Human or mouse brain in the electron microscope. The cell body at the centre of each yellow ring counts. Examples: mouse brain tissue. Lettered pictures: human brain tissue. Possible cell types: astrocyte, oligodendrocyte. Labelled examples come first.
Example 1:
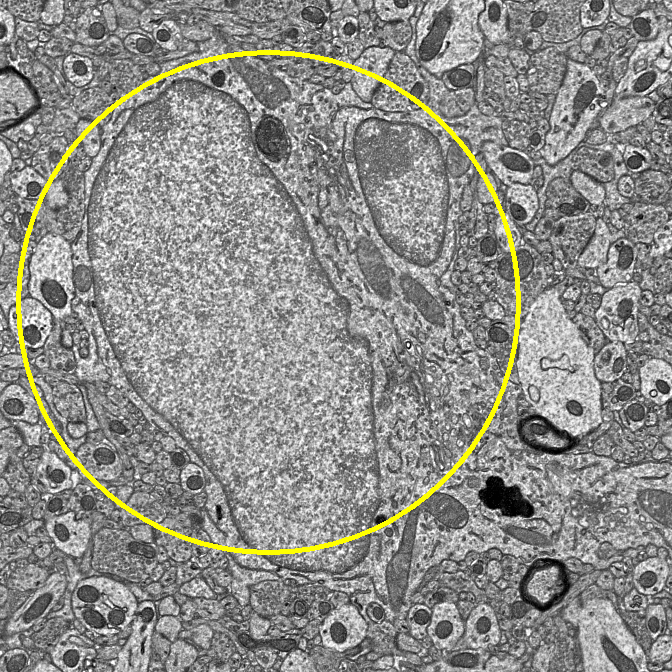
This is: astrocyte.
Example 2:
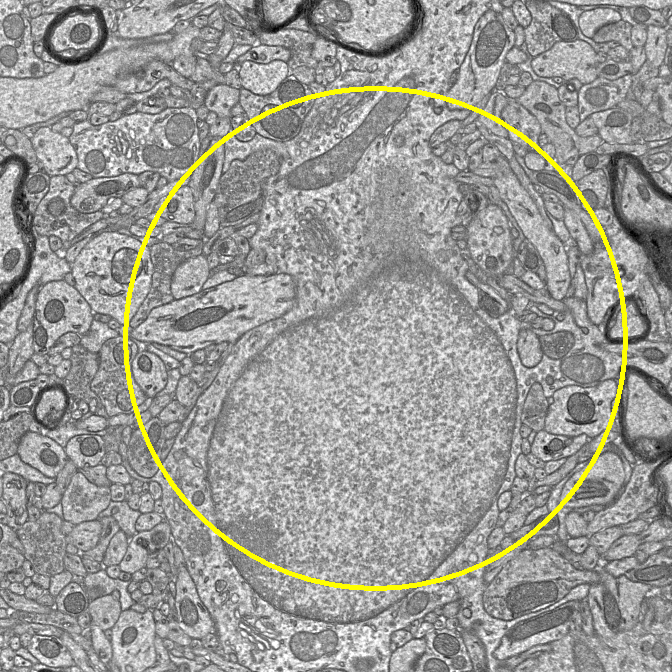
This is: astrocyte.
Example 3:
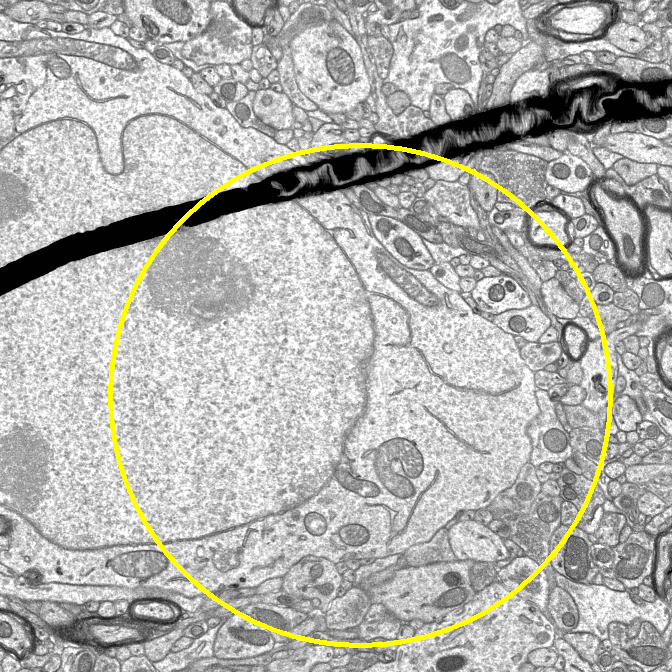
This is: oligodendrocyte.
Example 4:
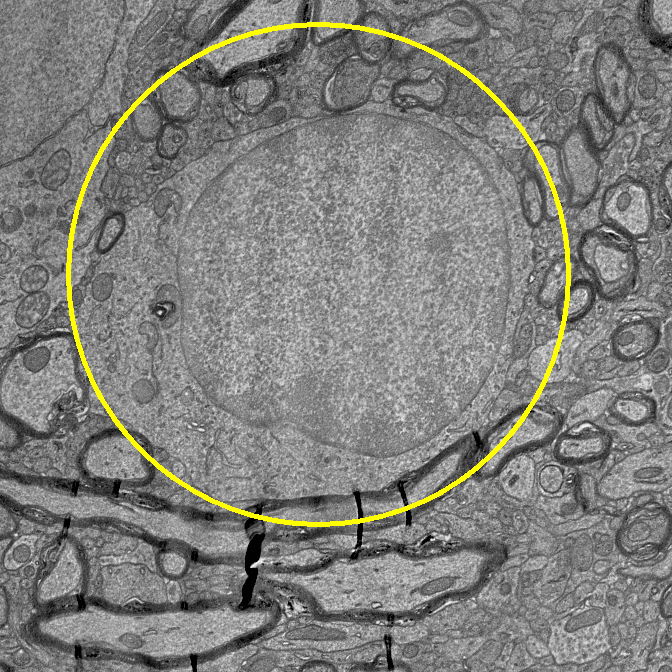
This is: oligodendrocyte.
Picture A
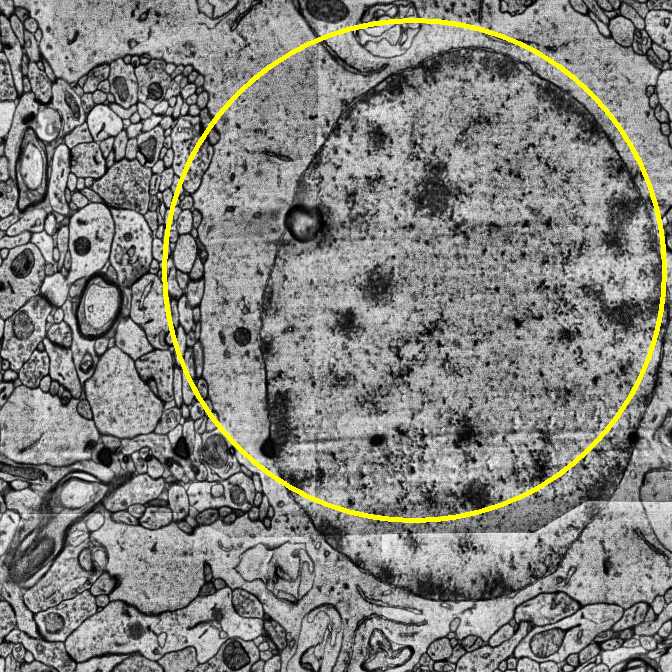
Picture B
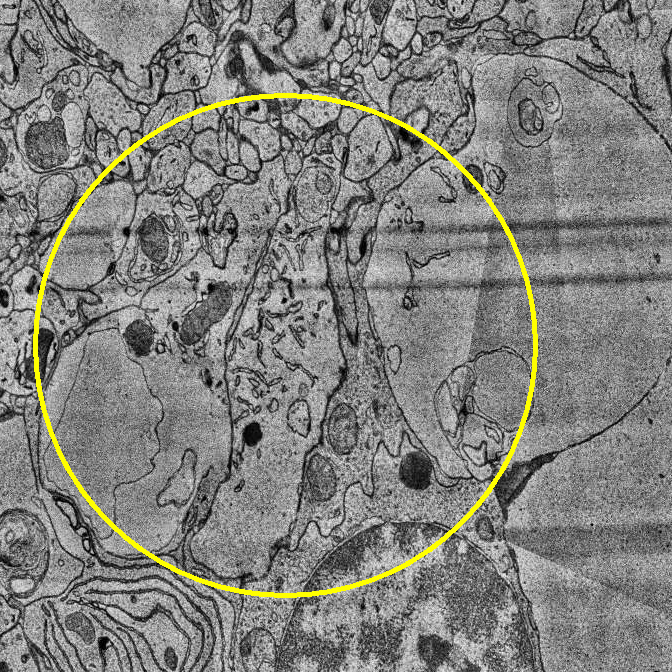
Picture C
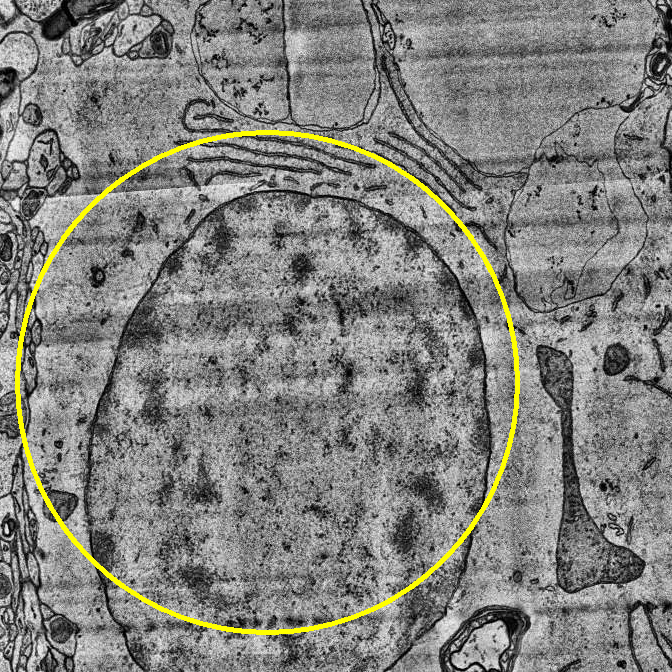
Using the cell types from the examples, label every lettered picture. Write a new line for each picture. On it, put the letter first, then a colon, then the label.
A: astrocyte.
B: oligodendrocyte.
C: astrocyte.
